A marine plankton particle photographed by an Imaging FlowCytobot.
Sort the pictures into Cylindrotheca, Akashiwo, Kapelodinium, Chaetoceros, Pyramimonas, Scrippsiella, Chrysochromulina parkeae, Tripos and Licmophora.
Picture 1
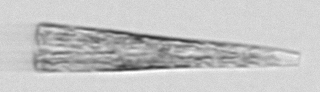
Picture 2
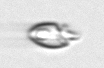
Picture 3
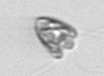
Licmophora: 1
Kapelodinium: 2
Pyramimonas: 3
